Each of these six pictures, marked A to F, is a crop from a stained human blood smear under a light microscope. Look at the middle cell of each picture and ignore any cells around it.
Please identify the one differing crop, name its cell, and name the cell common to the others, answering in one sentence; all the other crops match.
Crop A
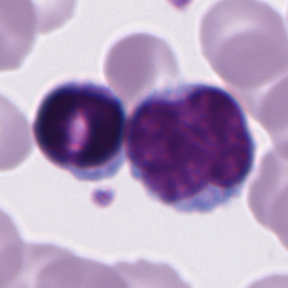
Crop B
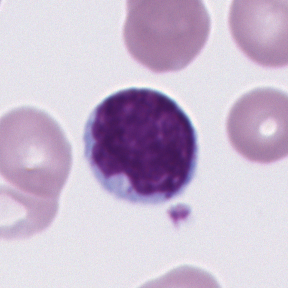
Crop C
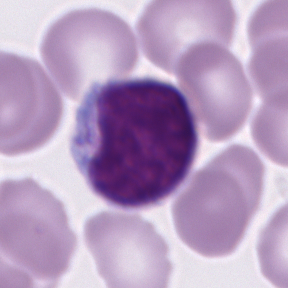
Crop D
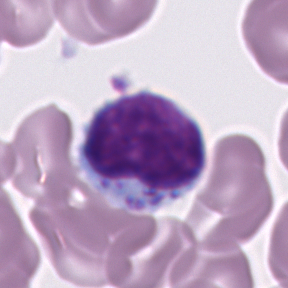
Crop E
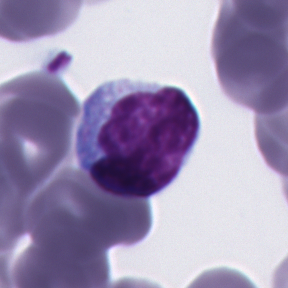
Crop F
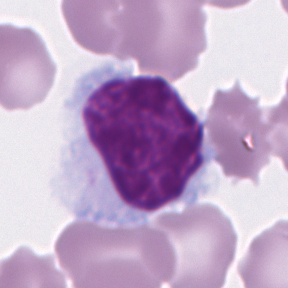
The exception in this group is crop F, a hairy cell, and the others are all typical lymphocytes.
